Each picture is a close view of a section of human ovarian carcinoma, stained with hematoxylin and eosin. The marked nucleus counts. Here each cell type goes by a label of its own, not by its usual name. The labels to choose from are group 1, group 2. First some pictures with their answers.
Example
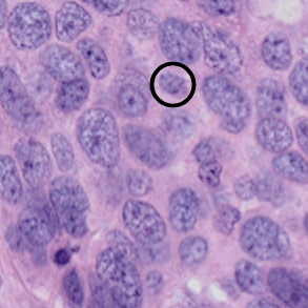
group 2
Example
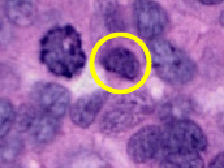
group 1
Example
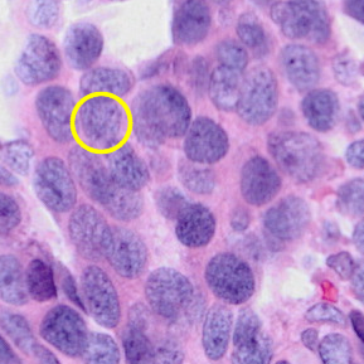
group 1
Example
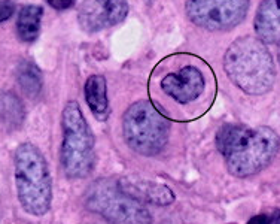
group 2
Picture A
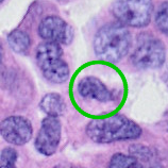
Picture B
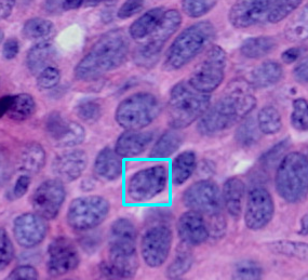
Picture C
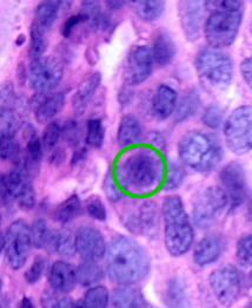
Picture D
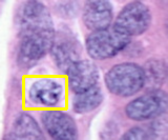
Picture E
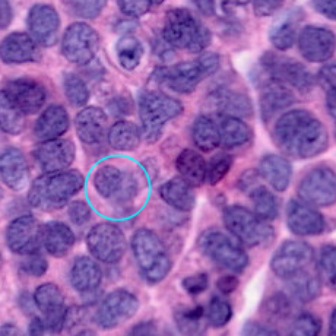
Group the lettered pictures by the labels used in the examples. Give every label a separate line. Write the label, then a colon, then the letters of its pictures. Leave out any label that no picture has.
group 1: B, C, E
group 2: A, D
